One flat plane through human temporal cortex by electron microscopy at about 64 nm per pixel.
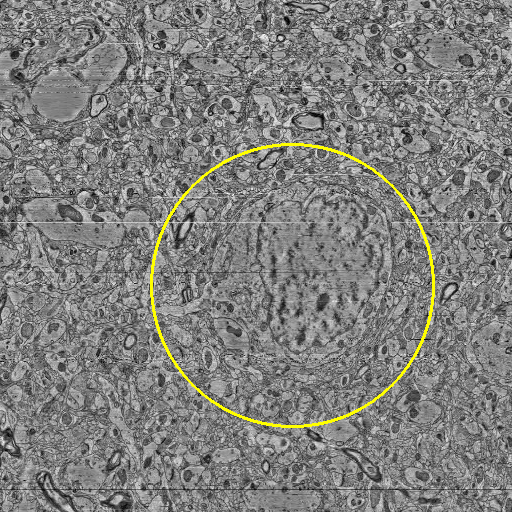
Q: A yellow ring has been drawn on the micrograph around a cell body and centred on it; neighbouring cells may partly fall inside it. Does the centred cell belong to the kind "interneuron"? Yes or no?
Yes, it belongs to that kind.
